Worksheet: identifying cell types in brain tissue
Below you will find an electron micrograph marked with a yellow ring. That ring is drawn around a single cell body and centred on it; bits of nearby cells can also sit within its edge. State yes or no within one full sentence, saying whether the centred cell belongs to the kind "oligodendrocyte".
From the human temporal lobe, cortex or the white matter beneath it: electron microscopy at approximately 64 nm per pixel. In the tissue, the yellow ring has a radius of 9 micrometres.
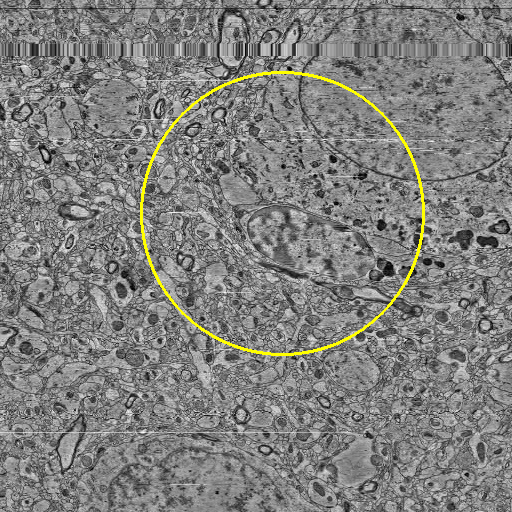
No, the cell sitting at the centre of the yellow ring in this picture is of another kind.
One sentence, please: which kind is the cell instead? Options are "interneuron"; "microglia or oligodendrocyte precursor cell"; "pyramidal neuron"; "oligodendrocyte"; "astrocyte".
The ring's central cell is a microglial cell or oligodendrocyte precursor cell instead.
